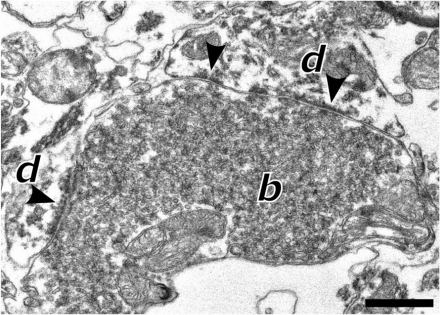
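A large presynaptic bouton fills most of the field and is densely packed with small round synaptic vesicles, with a few mitochondria near its lower edge. The surrounding neuropil appears loosely textured with pale spaces.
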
